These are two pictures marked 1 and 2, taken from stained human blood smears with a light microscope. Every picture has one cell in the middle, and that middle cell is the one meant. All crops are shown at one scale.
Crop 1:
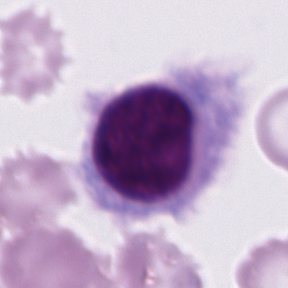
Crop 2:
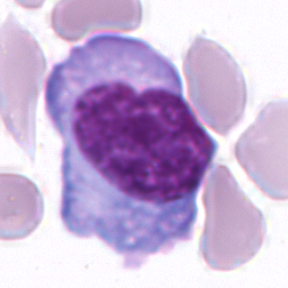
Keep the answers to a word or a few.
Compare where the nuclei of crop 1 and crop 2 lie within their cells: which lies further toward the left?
1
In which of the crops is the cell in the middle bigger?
2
